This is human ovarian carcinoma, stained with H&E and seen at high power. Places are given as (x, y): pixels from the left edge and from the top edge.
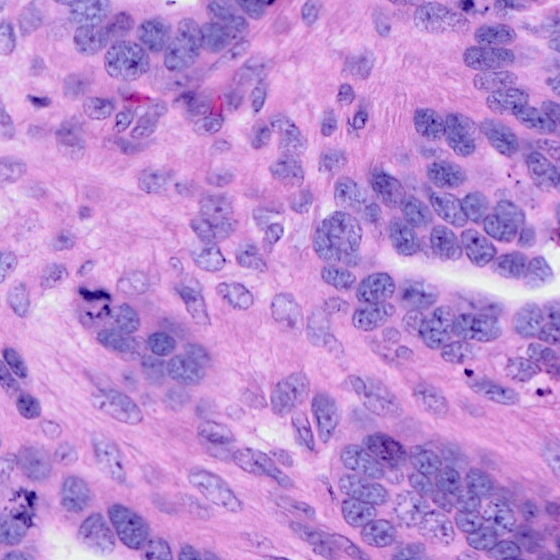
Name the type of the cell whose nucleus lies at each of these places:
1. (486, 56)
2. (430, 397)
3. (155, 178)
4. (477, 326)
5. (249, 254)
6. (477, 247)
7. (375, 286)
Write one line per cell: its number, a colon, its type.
1: carcinoma cell
2: fibroblast
3: fibroblast
4: carcinoma cell
5: fibroblast
6: carcinoma cell
7: carcinoma cell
